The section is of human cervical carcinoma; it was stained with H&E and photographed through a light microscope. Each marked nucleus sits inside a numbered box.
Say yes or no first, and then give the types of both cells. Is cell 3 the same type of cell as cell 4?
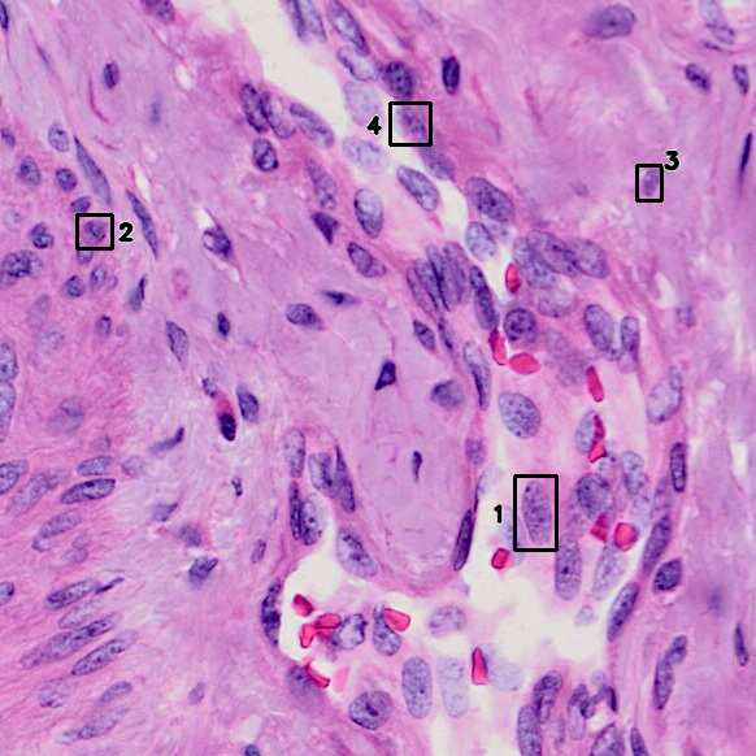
No, cell 3 is a fibroblast, and cell 4 is an endothelial cell.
